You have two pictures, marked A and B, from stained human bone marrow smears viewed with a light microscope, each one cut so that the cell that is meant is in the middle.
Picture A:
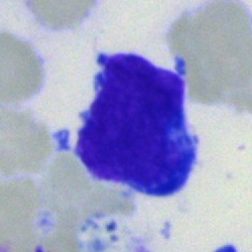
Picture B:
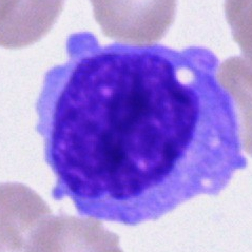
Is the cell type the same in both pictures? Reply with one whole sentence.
No, they differ: the cell is a blast in picture A and a monocyte in picture B.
